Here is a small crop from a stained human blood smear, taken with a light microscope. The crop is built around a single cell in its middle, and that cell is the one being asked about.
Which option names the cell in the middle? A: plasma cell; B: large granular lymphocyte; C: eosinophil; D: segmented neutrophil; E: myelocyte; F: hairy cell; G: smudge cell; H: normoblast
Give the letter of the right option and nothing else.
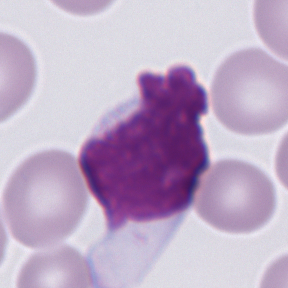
B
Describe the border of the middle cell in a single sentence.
The periphery of this cell is uneven, with ragged portions or projections.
